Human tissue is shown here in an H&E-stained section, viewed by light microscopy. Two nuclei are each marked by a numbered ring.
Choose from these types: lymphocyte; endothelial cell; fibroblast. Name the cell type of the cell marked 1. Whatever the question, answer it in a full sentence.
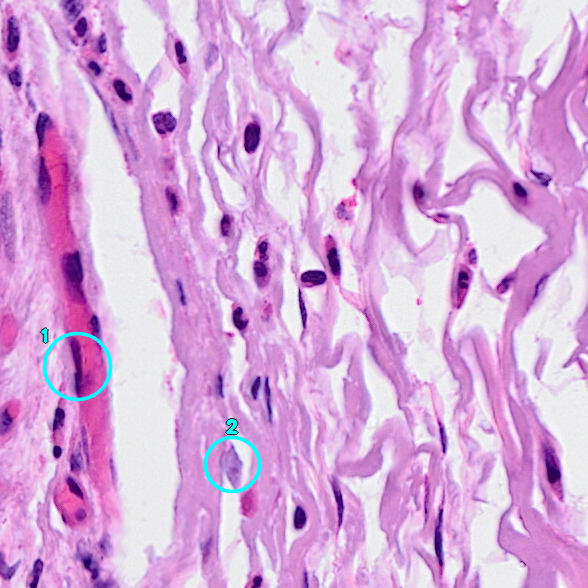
Among the marked cells, number 1 is an endothelial cell.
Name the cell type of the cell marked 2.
Marked with the number 2, this cell is a fibroblast.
